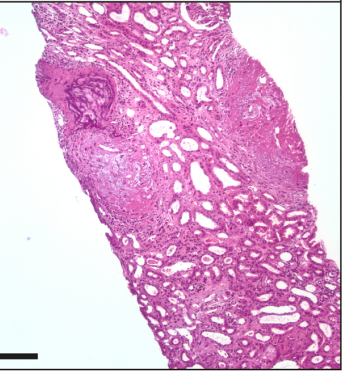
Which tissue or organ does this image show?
kidney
